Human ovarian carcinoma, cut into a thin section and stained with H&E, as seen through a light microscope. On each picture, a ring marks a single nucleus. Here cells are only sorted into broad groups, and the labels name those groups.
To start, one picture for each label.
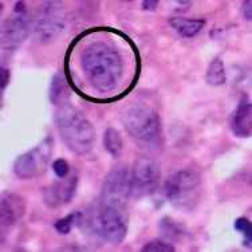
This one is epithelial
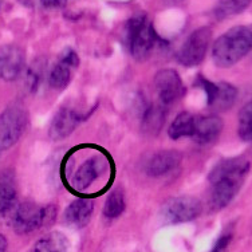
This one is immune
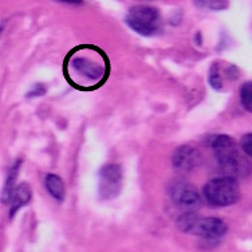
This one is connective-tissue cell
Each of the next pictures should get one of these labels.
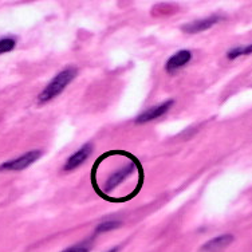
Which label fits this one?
connective-tissue cell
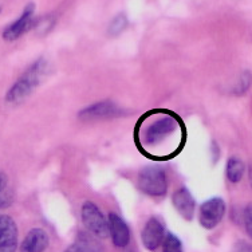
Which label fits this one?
immune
